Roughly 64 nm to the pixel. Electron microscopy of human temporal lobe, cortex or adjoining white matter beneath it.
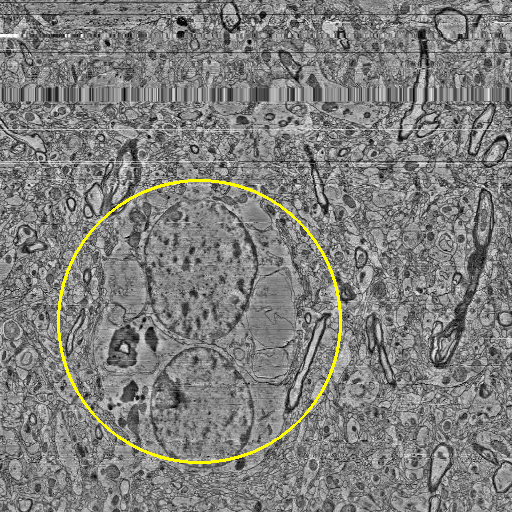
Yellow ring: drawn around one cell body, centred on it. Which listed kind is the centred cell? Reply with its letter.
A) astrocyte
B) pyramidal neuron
A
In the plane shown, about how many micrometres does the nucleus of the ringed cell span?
About 10 by 7 micrometres in this plane.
